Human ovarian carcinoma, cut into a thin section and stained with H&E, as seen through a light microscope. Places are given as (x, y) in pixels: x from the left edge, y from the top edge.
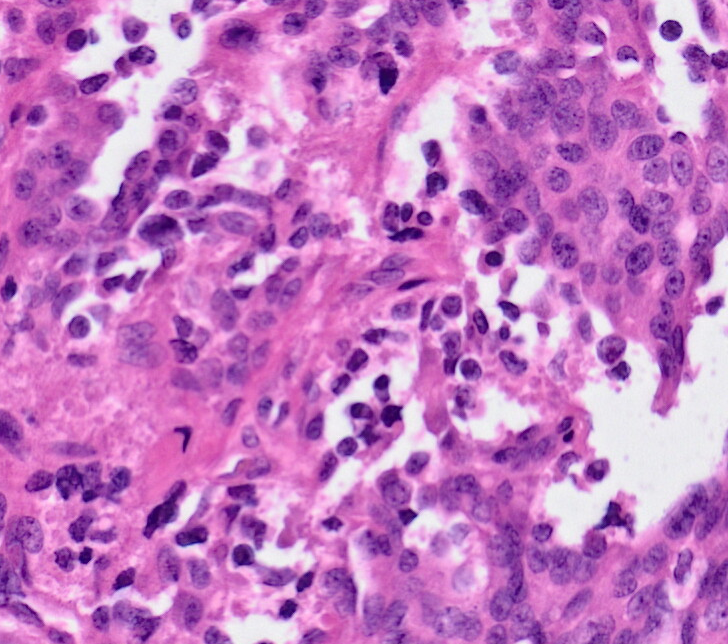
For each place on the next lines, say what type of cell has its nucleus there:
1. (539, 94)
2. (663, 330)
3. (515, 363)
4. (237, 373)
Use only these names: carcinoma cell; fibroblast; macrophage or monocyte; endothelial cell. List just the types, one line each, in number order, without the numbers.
carcinoma cell
carcinoma cell
macrophage or monocyte
carcinoma cell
